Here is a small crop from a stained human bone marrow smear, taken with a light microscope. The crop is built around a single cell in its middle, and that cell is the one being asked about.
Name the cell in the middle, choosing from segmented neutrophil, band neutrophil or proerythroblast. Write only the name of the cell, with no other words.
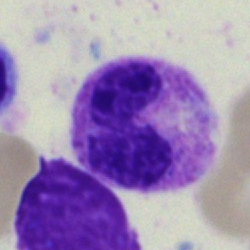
segmented neutrophil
